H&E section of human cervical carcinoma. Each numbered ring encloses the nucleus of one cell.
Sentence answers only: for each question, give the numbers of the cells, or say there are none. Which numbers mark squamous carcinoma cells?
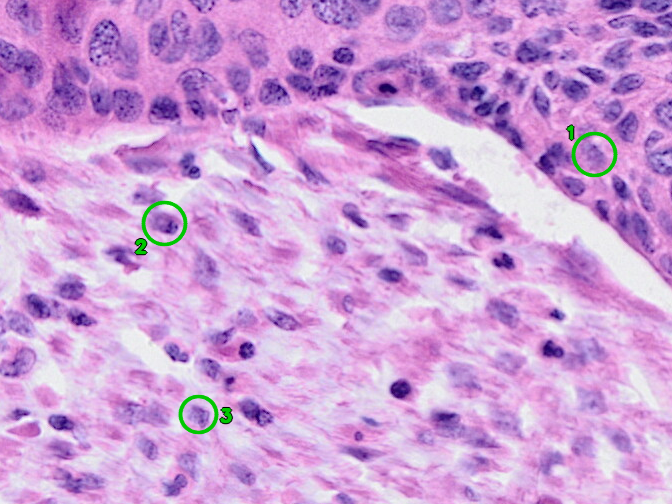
Only cell 1 is a squamous carcinoma cell; none of the other numbered cells is.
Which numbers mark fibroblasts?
Across all the numbered cells, only number 3 is a fibroblast.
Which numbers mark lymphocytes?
No numbered nucleus belongs to one of the lymphocytes.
